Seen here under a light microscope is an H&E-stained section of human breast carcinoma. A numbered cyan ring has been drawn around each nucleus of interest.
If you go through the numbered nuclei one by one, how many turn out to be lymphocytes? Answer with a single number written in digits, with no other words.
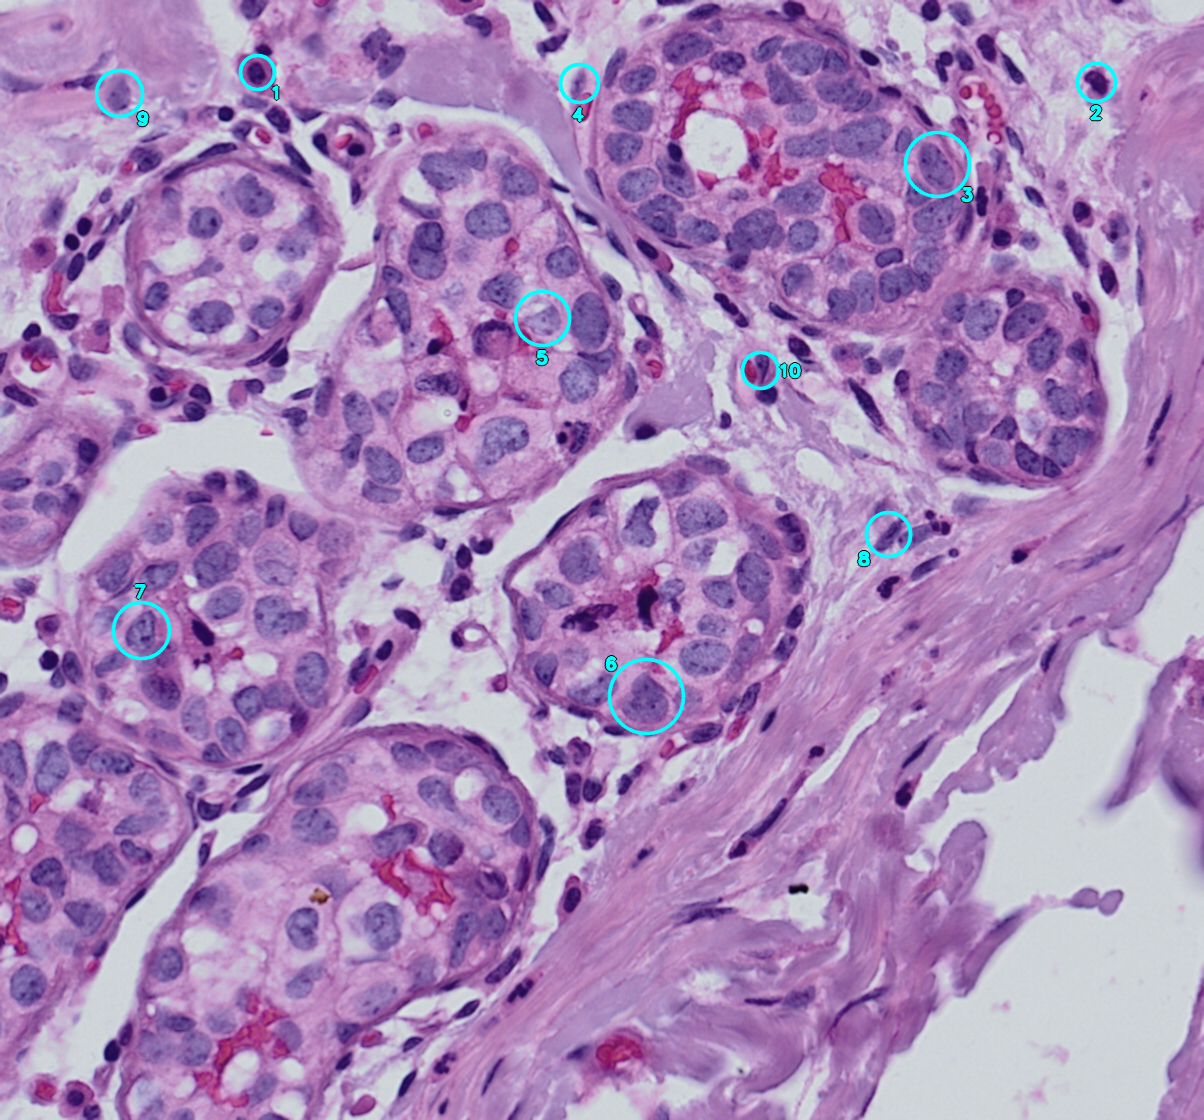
0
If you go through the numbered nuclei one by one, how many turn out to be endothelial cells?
2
